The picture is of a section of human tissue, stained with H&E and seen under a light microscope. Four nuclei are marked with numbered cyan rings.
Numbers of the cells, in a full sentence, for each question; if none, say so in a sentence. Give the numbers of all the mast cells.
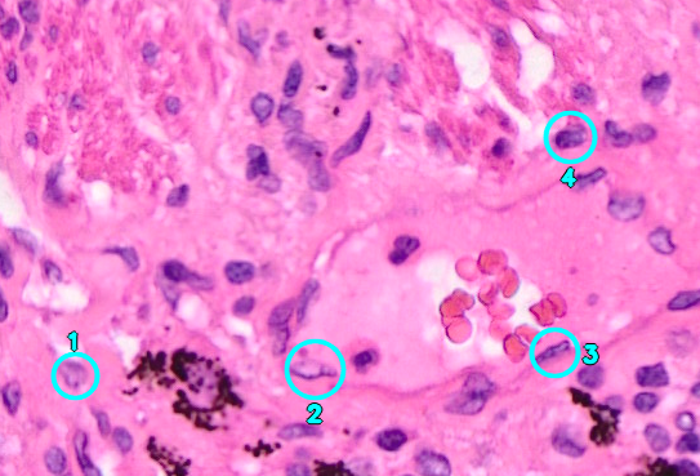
Of those with numbers, only cell 4 is a mast cell.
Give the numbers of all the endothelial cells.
Cells 2 and 3 are recognised here as endothelial cells.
